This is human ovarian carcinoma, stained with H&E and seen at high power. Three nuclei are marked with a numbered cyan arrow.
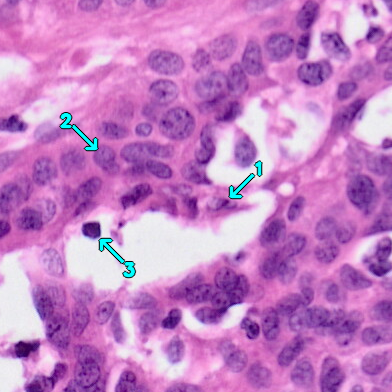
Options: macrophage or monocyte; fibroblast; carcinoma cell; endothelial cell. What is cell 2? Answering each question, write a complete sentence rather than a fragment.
Looking at the numbered marks, cell 2 is a carcinoma cell.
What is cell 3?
Classified as a carcinoma cell is the cell with the number 3.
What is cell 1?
The nucleus labelled 1 belongs to a macrophage or monocyte.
